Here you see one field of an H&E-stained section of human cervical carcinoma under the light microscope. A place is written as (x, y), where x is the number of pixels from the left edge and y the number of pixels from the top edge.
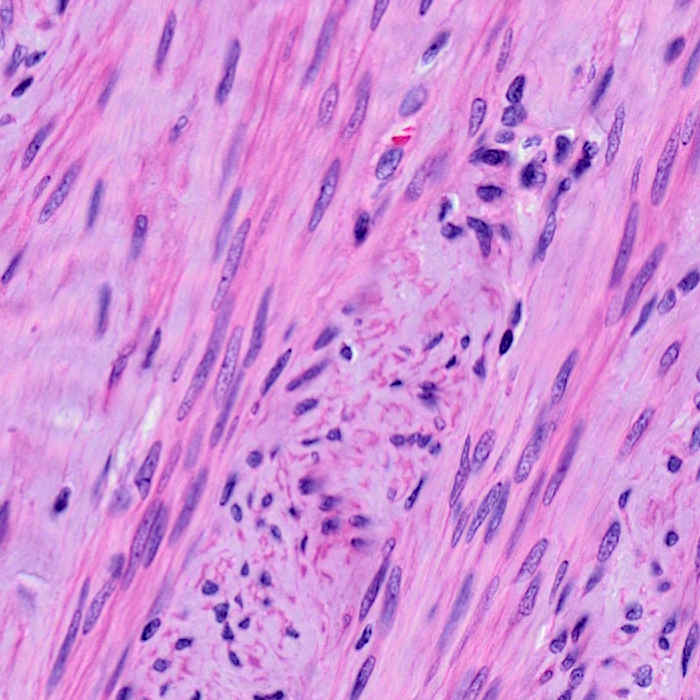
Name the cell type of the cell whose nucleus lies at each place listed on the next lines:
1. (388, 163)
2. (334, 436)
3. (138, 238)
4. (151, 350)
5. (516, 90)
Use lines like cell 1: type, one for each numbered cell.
cell 1: endothelial cell
cell 2: smooth muscle cell
cell 3: smooth muscle cell
cell 4: smooth muscle cell
cell 5: lymphocyte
